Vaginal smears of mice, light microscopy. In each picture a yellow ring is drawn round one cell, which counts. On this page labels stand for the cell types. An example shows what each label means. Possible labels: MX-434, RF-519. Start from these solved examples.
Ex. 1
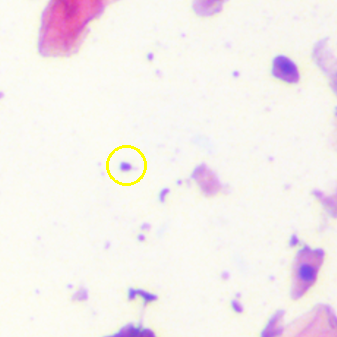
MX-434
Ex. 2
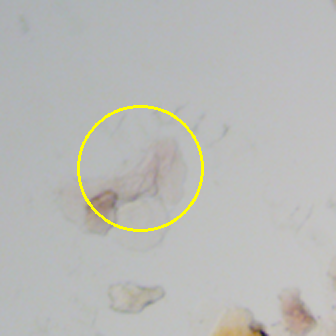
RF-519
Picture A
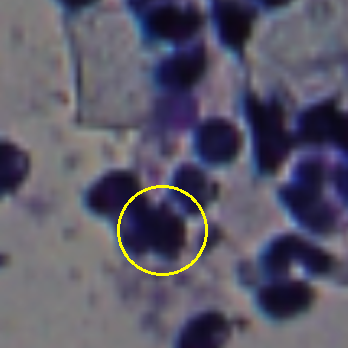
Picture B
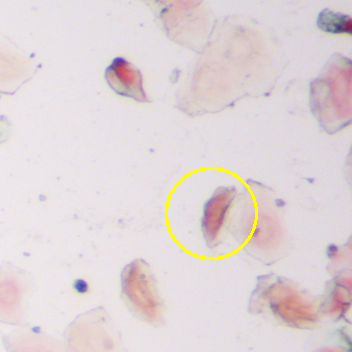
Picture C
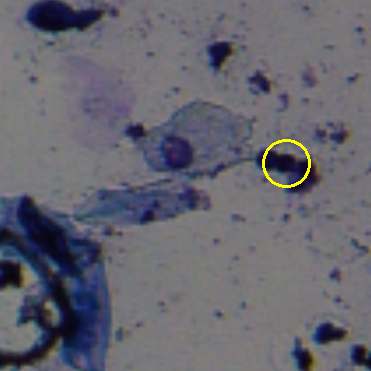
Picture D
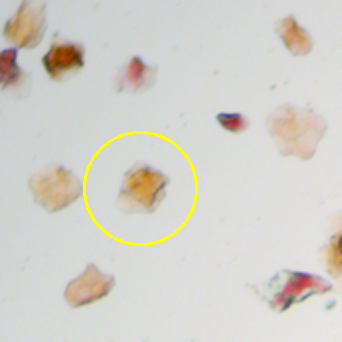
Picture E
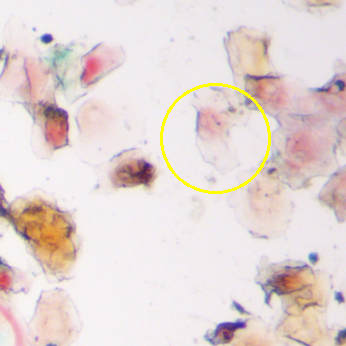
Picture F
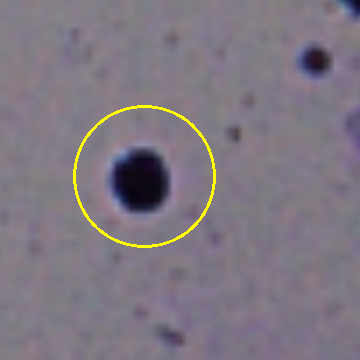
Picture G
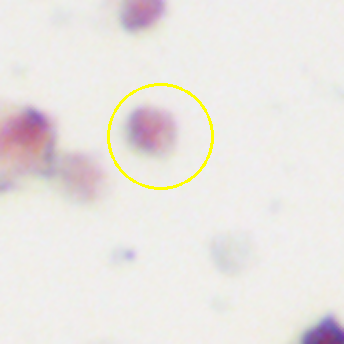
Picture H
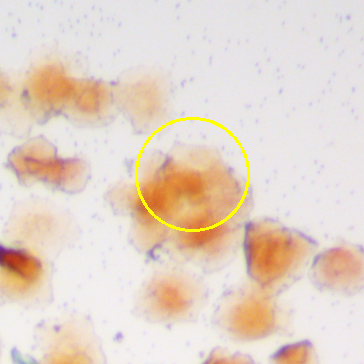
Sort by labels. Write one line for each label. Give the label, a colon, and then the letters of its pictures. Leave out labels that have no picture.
MX-434: A, C, F, G
RF-519: B, D, E, H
